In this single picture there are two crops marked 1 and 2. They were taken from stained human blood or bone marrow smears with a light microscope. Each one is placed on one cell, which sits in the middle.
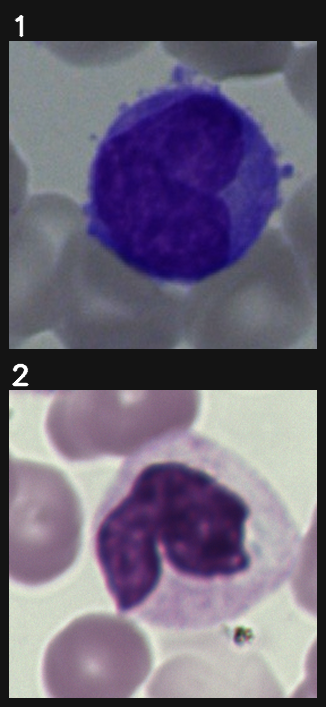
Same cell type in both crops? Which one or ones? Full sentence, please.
No, crop 1 has a monocyte in the middle, and crop 2 has a band neutrophil.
